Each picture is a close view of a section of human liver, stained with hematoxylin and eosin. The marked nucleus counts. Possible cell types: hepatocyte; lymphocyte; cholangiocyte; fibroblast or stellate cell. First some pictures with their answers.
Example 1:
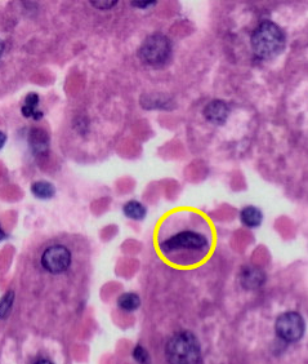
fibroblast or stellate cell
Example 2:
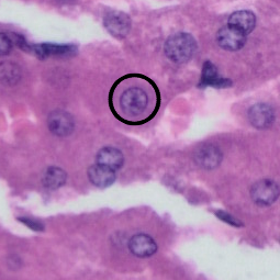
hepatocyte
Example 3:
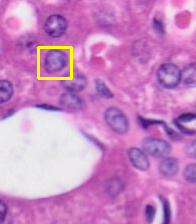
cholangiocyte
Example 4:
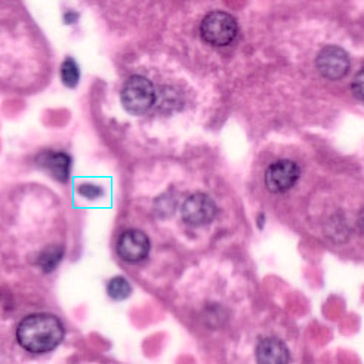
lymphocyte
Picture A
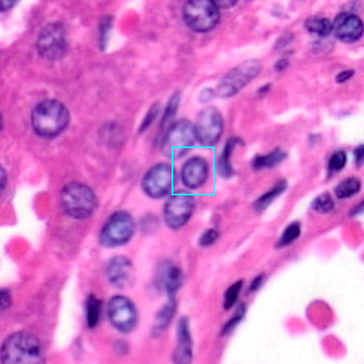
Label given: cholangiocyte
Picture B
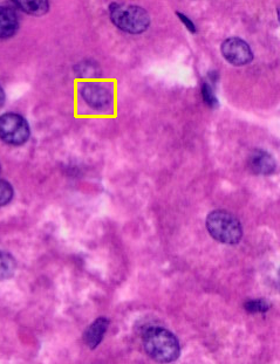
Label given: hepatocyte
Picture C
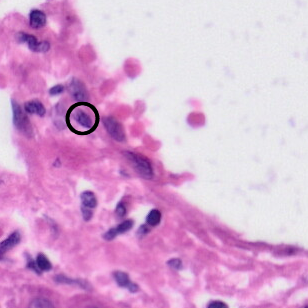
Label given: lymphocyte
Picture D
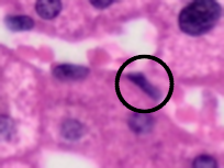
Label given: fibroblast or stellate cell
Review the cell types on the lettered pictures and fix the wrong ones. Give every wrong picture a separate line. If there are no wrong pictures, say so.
C: change lymphocyte to fibroblast or stellate cell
